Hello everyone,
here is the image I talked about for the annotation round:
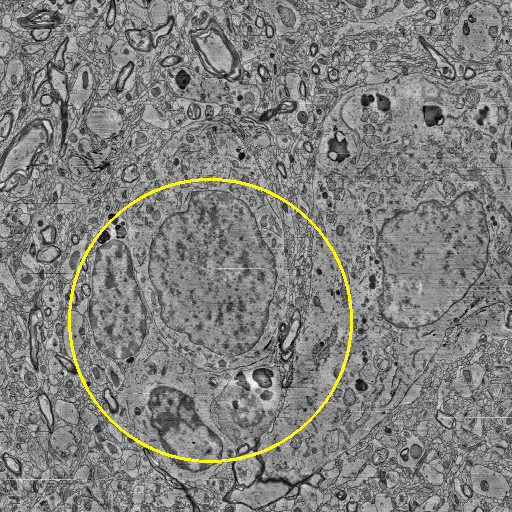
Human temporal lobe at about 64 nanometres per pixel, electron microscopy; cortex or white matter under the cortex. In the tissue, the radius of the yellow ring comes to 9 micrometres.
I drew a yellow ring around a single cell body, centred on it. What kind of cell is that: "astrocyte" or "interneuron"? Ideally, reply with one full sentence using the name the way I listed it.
The cell your yellow ring is centred on is an interneuron, going by your list.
